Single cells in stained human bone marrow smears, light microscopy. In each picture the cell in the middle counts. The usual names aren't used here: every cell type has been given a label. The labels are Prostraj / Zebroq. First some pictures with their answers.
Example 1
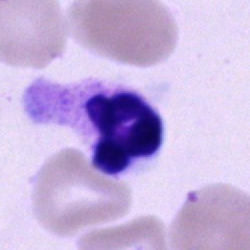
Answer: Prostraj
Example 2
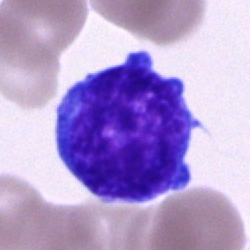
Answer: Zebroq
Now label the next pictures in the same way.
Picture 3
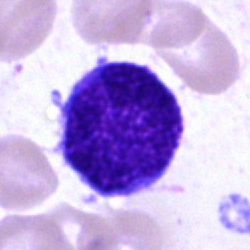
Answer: Zebroq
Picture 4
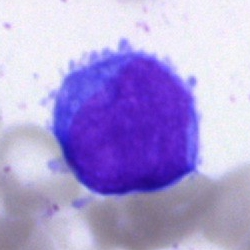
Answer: Zebroq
